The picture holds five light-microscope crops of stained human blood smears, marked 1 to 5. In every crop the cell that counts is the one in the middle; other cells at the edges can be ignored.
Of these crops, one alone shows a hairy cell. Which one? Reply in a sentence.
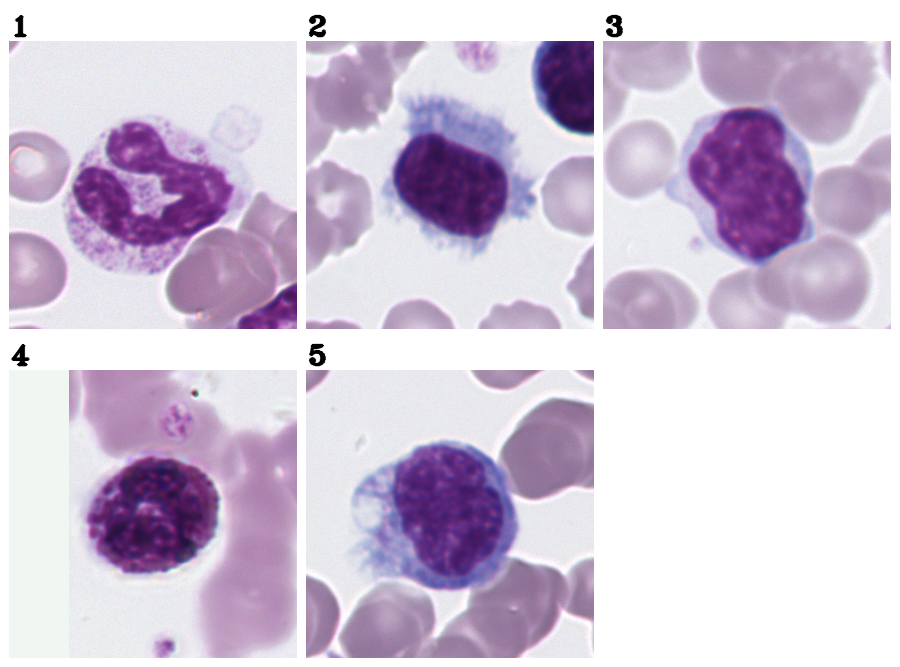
Crop 2, and no other, shows a hairy cell.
